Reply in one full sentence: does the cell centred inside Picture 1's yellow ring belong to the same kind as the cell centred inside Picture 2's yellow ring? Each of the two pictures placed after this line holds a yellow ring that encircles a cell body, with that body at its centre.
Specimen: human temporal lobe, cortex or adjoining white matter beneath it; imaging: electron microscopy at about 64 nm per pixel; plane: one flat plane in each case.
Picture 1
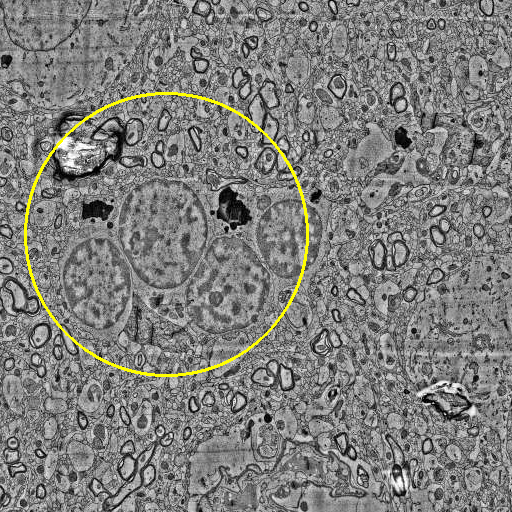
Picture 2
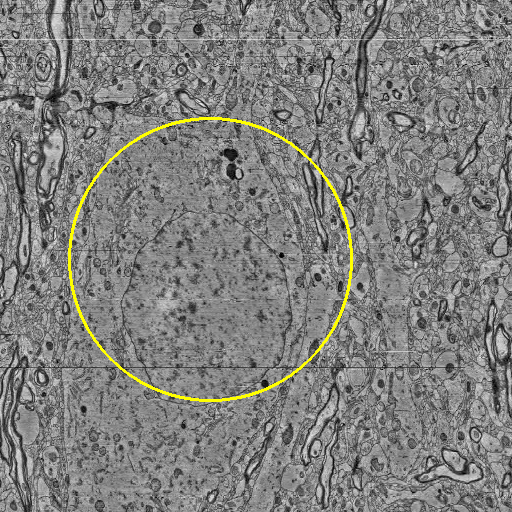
No, the ring-centred cells in Picture 1 and Picture 2 are of two separate kinds.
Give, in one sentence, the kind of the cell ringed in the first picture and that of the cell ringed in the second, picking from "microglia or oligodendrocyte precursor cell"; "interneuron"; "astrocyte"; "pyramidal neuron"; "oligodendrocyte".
For the first picture it is an oligodendrocyte; for the second, a pyramidal neuron.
